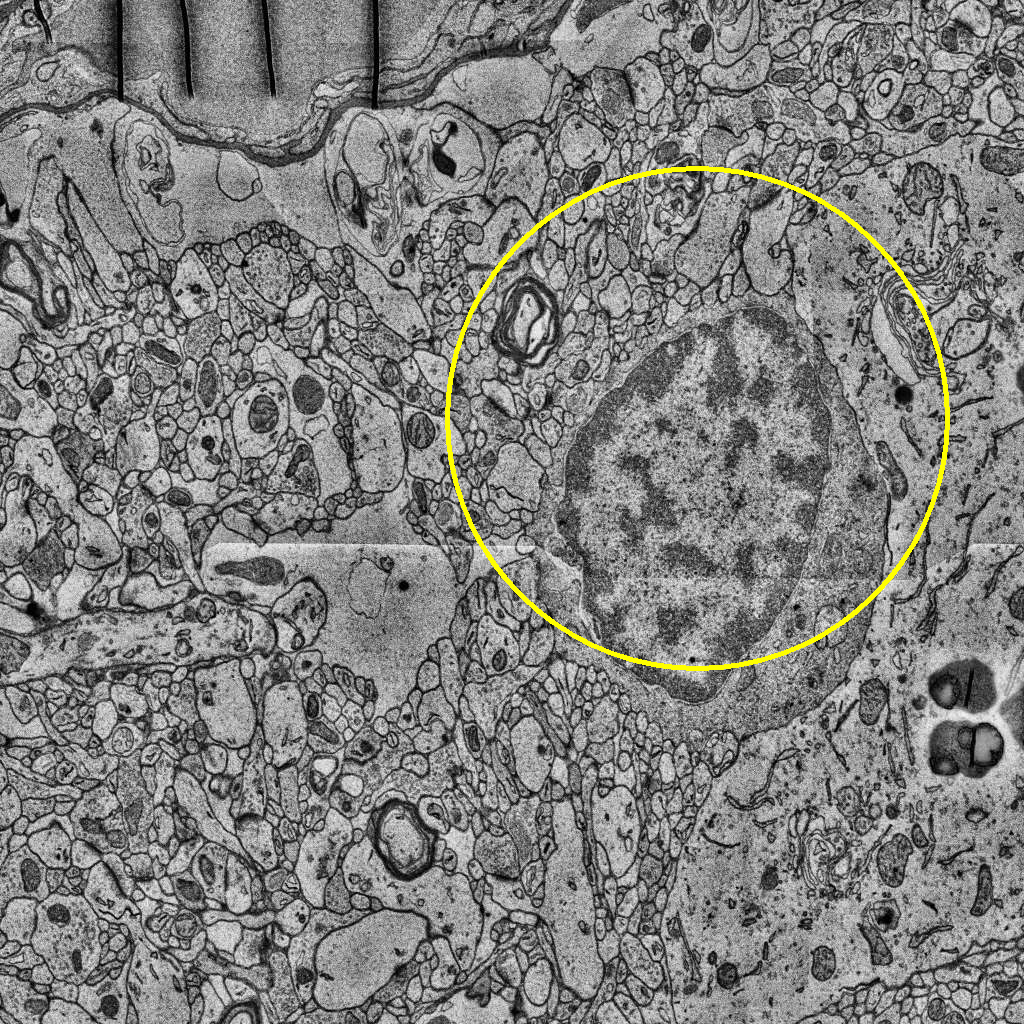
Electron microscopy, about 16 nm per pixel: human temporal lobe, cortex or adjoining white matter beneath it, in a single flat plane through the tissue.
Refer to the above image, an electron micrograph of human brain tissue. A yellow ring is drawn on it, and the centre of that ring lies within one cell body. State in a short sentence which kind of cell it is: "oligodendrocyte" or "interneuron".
The centre of the ring falls on an oligodendrocyte.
